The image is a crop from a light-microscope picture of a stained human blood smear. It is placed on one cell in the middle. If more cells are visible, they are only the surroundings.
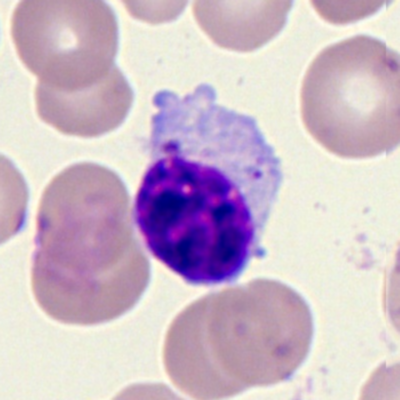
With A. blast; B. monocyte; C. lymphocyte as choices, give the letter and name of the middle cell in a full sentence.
The cell at the centre is a lymphocyte, and option C accordingly is correct.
